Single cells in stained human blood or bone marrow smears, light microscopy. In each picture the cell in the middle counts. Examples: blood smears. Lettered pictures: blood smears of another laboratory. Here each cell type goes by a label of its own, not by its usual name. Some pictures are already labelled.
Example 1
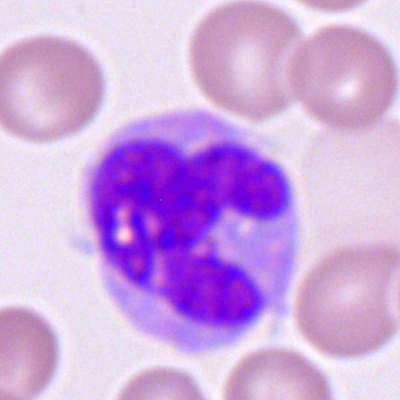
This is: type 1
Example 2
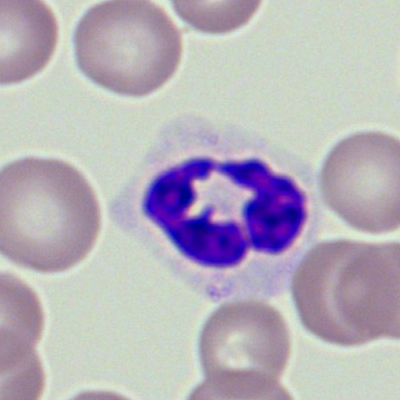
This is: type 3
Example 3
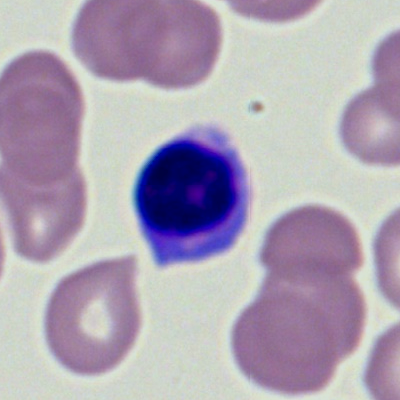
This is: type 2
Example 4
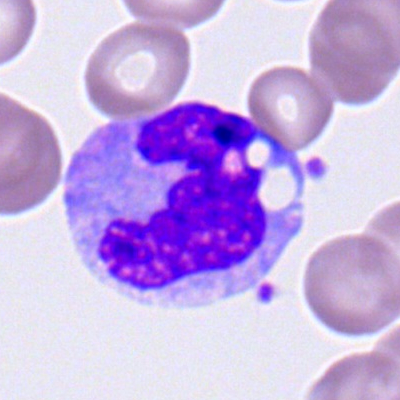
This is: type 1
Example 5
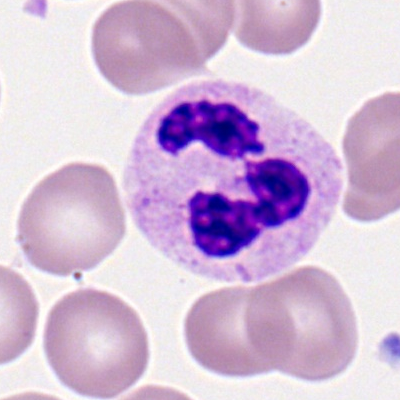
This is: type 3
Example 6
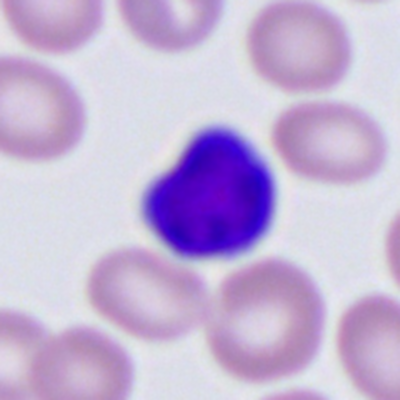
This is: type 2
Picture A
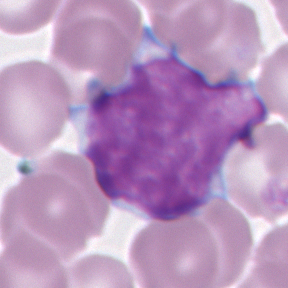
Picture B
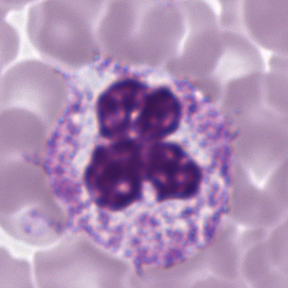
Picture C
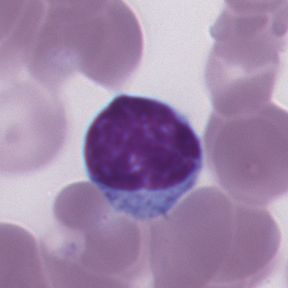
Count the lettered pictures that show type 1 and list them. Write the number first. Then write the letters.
0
